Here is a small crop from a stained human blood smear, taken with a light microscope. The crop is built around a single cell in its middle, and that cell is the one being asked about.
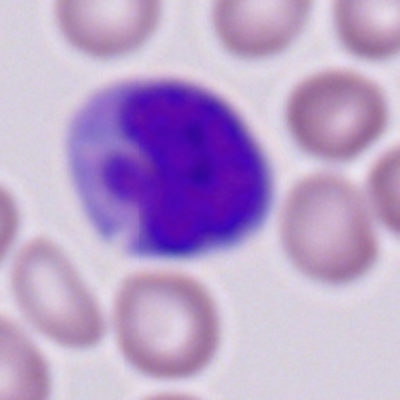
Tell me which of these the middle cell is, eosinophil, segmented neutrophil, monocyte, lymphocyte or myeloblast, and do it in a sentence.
Regarding the central cell, it is a monocyte.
